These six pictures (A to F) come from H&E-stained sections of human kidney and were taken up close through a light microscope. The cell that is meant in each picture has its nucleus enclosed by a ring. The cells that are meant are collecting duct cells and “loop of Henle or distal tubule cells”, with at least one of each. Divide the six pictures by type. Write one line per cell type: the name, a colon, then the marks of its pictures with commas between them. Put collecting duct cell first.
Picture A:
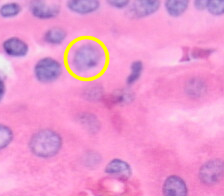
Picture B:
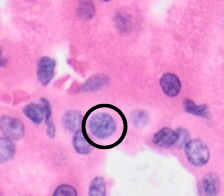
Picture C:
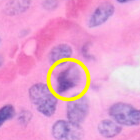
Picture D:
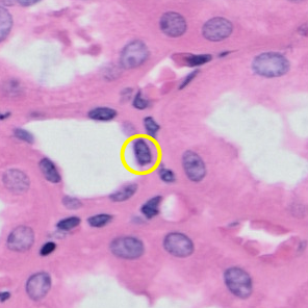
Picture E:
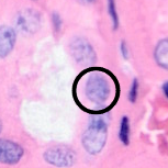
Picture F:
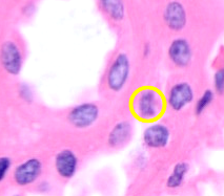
collecting duct cell: B, C, E
loop of Henle or distal tubule cell: A, D, F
